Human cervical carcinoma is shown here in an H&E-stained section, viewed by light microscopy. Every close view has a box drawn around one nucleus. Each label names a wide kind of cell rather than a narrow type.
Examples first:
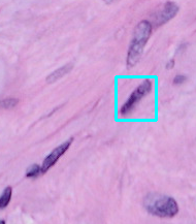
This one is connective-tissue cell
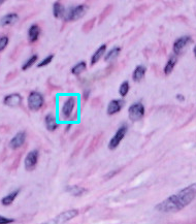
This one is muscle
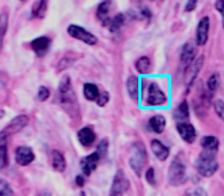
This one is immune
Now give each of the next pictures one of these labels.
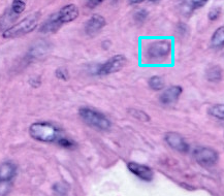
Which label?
muscle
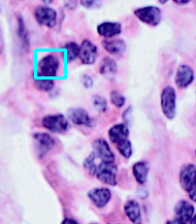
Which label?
immune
